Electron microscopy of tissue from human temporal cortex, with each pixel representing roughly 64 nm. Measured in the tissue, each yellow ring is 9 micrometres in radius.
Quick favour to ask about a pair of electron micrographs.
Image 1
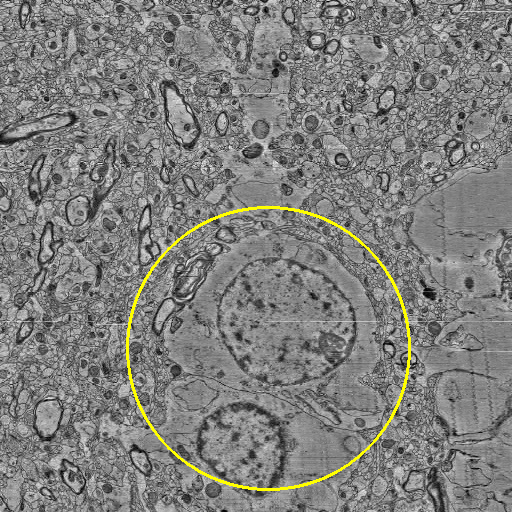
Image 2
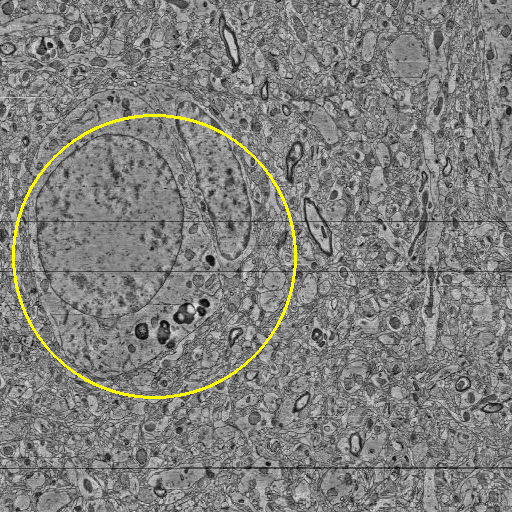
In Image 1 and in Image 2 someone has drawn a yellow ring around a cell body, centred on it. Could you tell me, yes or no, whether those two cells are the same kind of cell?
no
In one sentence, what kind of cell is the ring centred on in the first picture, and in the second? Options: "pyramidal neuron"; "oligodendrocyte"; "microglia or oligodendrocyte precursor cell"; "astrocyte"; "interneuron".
The cell at the centre of the second ring is a pyramidal neuron; the first ring's cell is an astrocyte.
